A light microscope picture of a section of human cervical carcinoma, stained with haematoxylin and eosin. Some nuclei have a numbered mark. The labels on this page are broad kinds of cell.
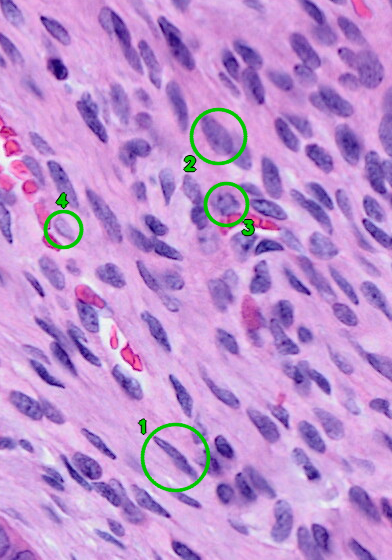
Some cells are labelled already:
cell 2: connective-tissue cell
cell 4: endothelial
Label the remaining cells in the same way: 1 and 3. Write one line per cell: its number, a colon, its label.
1: connective-tissue cell
3: endothelial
